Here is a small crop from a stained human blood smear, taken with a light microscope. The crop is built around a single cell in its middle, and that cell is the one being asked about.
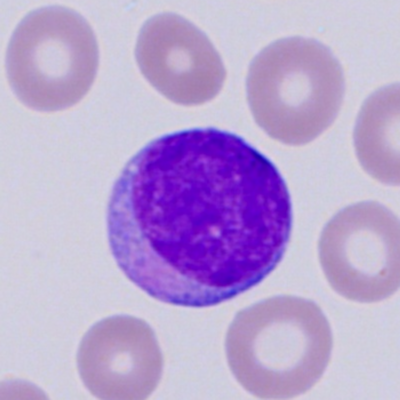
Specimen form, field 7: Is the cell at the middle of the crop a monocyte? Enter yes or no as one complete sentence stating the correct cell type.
No, what lies at the heart of the crop is a myeloblast, not a monocyte.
